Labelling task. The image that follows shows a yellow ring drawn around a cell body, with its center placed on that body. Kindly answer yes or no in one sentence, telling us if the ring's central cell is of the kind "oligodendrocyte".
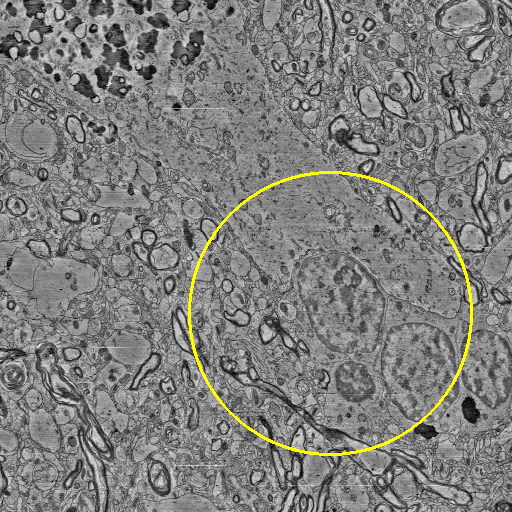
Yes, in this image the cell at the ring's center is of that kind.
